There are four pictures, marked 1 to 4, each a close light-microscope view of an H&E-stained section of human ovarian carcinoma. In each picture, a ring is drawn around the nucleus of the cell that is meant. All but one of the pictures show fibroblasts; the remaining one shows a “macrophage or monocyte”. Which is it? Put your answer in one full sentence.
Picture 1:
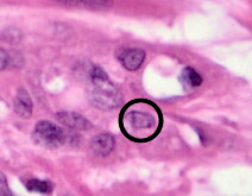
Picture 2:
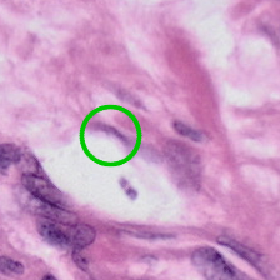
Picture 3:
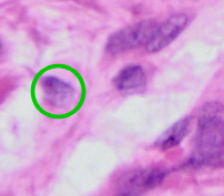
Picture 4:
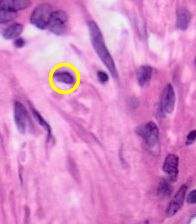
Picture 1 shows the “macrophage or monocyte”.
